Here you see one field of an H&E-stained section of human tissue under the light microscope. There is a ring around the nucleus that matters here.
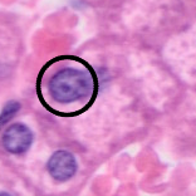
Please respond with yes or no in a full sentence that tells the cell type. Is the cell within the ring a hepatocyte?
Yes, the classification of the cell within the ring as a hepatocyte is accurate.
